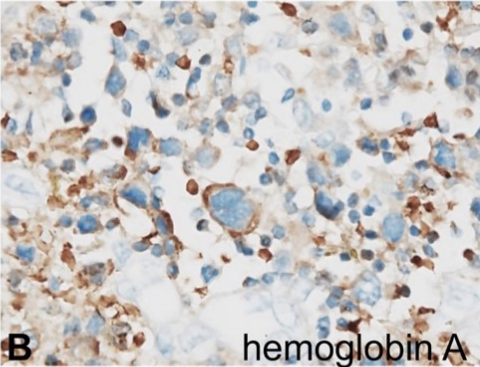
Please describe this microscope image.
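A loose mixed population of atypical cells lies in a pale background, many of them small with dense round blue nuclei and brown-stained cytoplasm. A larger cell near the centre has a big round nucleus and a rim of brown-stained cytoplasm and border, while other cells with pale oval nuclei stay unstained.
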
